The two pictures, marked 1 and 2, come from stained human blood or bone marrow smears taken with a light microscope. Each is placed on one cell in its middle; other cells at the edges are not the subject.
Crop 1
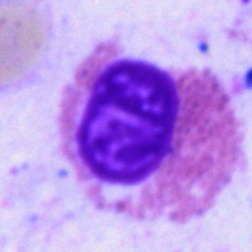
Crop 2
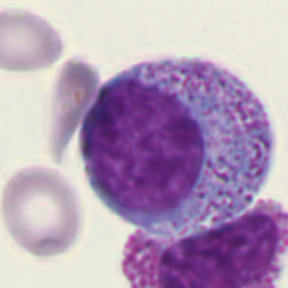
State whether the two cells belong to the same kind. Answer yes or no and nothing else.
no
